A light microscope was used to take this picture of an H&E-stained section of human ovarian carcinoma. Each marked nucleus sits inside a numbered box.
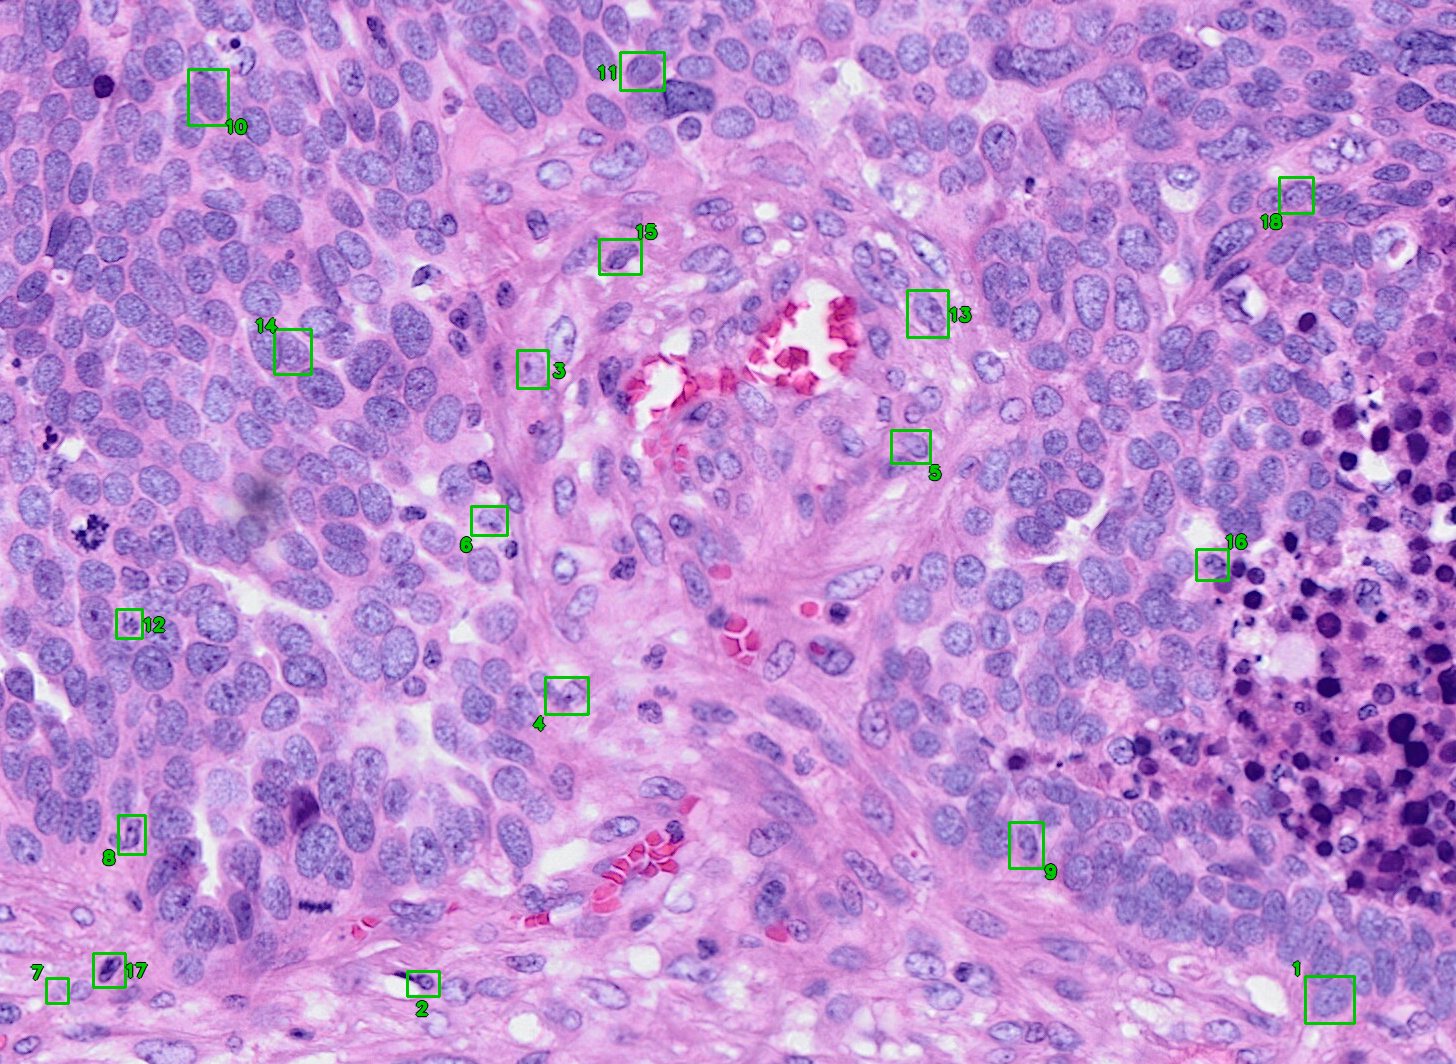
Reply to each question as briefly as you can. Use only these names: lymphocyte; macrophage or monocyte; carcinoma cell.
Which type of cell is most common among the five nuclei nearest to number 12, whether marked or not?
carcinoma cell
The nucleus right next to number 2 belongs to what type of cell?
macrophage or monocyte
